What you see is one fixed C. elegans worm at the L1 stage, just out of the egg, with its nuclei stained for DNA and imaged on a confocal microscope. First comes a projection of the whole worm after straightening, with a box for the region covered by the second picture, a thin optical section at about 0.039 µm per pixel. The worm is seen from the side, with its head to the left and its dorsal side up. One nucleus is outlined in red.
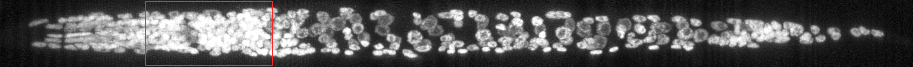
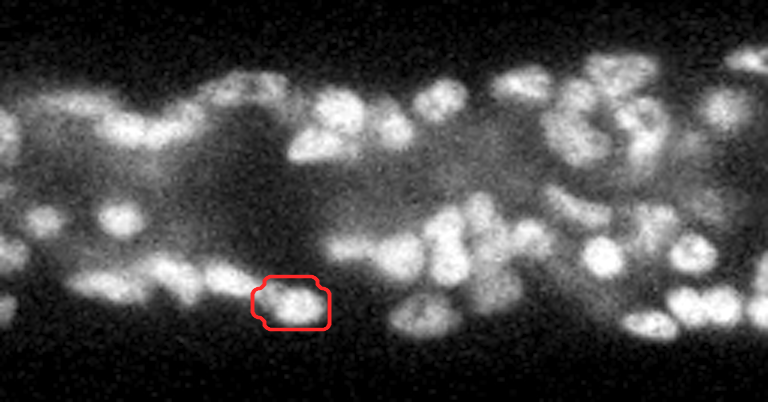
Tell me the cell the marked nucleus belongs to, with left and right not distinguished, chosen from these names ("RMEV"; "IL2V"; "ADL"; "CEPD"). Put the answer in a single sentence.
This is the nucleus of RMEV, a neuron.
